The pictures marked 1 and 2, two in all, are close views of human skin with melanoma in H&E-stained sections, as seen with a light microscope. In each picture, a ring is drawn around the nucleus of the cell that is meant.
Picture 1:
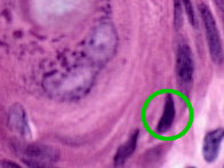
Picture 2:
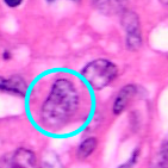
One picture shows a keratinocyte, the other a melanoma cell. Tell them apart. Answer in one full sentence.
In picture 1 the cell is a keratinocyte; in picture 2, a melanoma cell.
